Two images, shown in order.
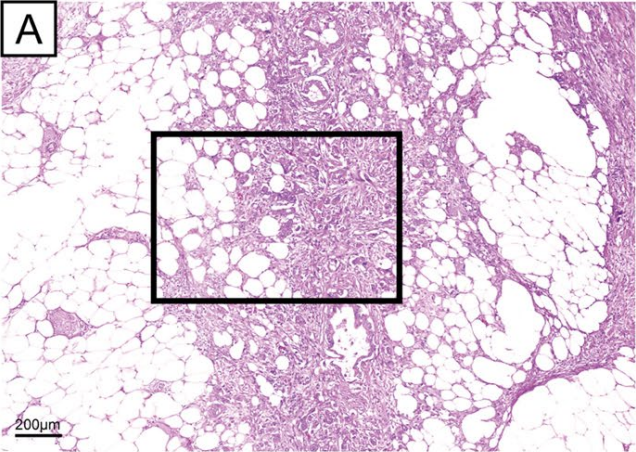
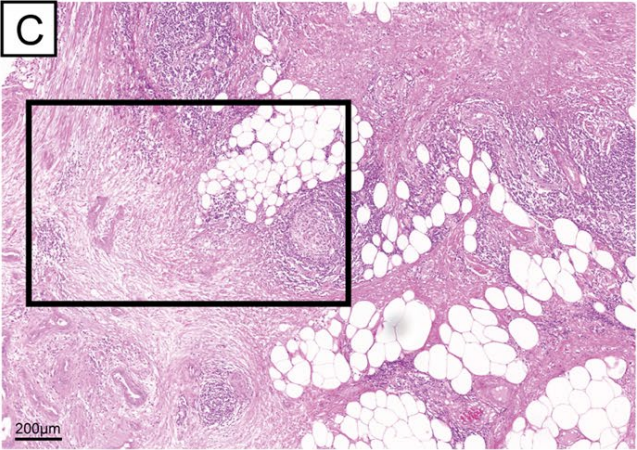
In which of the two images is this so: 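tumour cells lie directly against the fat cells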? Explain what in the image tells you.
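Second image: fat lobules are rimmed by pale pink fibrous tissue and small dark inflammatory cells. First image: cellular tumour tissue runs straight into fat lobules without a fibrous band between.
Answer: the first image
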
